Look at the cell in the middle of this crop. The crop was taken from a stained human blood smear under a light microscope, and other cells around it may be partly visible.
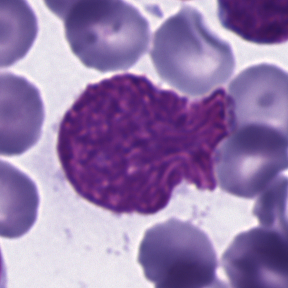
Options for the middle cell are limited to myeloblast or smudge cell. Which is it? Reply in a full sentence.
The cell of interest, located centrally, is a smudge cell.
